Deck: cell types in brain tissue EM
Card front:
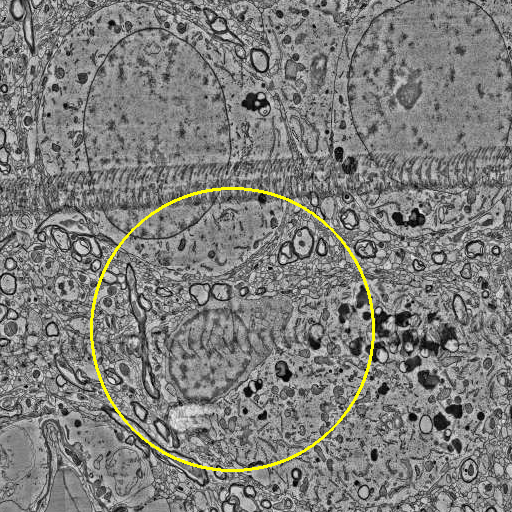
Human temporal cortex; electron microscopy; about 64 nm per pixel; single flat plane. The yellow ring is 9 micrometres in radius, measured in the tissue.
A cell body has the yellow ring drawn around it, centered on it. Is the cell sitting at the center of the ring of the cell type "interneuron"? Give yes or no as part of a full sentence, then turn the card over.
No, on this card the yellow ring is centered on a cell of a different type.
